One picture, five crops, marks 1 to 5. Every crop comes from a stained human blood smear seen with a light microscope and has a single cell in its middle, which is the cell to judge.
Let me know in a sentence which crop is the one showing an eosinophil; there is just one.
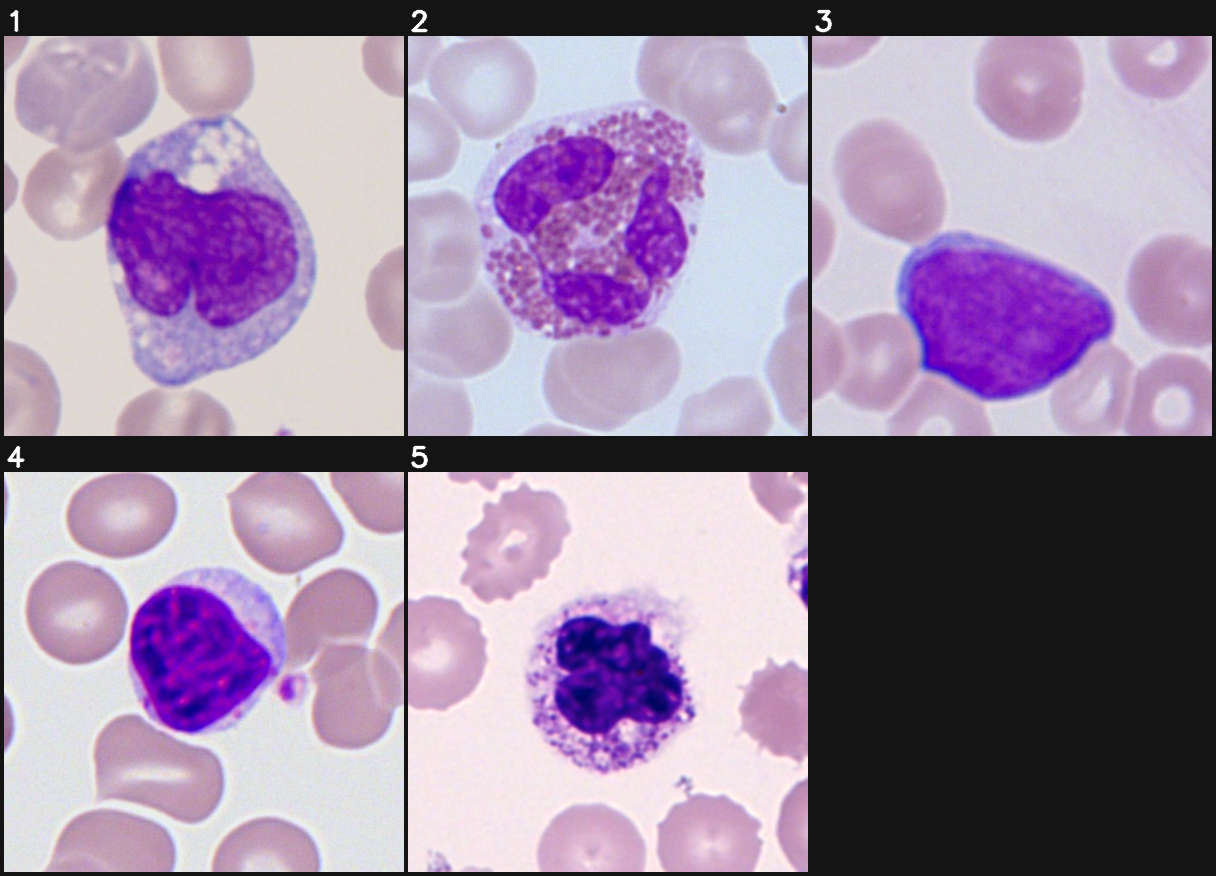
Crop 2 shows an eosinophil, and no other crop does.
